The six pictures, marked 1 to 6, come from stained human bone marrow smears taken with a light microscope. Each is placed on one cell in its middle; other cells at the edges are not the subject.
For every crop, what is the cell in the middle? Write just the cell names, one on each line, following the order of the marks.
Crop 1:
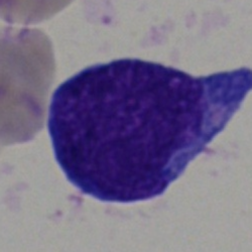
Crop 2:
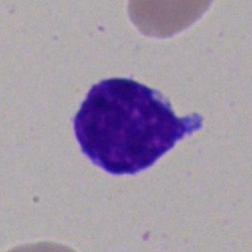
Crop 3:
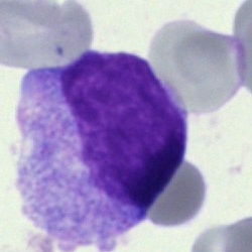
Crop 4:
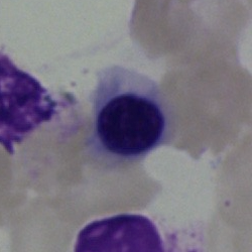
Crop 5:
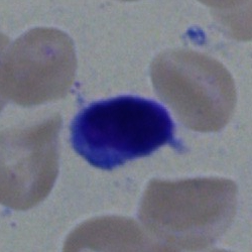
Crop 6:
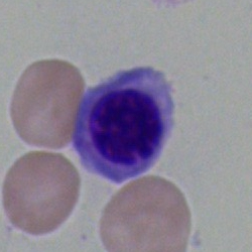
blast
blast
blast
normoblast
lymphocyte
normoblast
